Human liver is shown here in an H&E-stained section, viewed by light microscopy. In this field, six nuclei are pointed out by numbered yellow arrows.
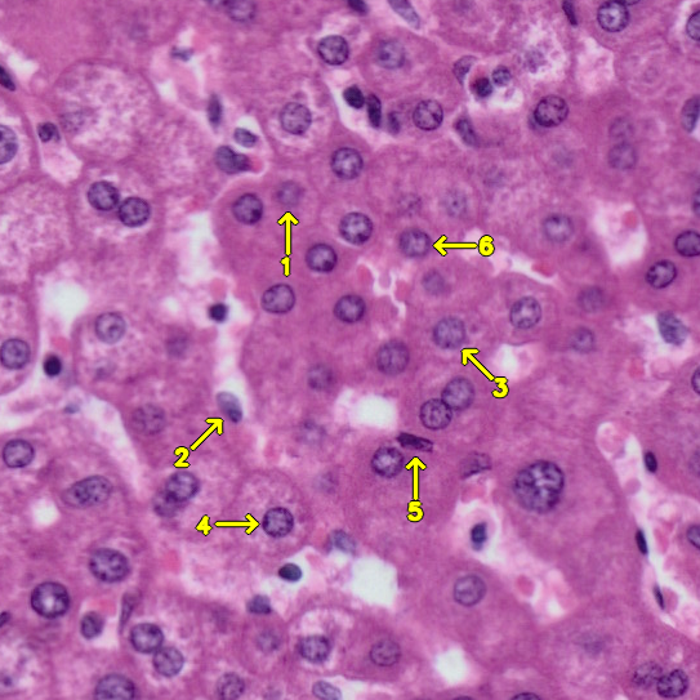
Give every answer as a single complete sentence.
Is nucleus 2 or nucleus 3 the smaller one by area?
With nucleus 3 about 1.5 times its size, nucleus 2 is the smaller of the two.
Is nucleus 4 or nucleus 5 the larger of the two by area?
Nucleus 4 is larger, with an area about 1.5 times that of nucleus 5.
